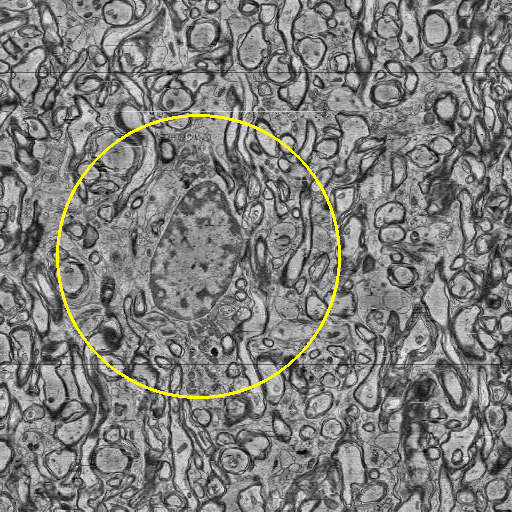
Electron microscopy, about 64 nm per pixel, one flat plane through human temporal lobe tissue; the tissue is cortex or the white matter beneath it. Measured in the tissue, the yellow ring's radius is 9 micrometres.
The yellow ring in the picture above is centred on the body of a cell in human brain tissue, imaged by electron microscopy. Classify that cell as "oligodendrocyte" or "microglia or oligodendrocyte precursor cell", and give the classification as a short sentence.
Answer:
The cell in the middle of the ring is a microglial cell or oligodendrocyte precursor cell.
